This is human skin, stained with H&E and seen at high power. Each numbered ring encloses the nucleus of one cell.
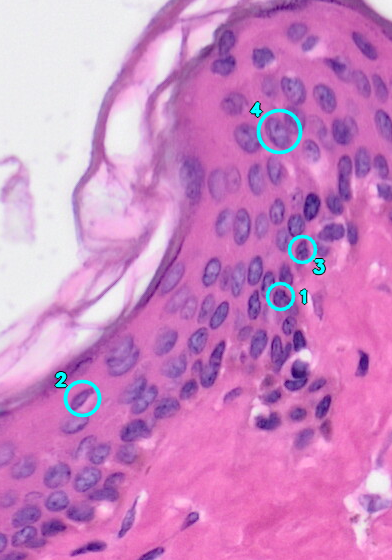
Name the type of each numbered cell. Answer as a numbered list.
1. basal keratinocyte
2. suprabasal keratinocyte
3. basal keratinocyte
4. suprabasal keratinocyte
